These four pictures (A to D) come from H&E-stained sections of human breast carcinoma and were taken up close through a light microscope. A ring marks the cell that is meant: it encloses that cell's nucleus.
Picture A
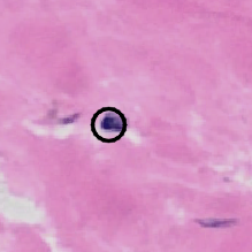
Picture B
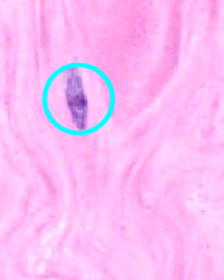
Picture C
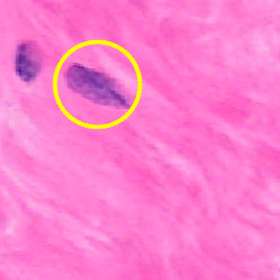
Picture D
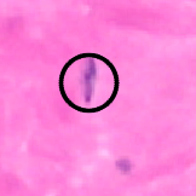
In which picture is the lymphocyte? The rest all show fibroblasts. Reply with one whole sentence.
The cell in picture A is the lymphocyte.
